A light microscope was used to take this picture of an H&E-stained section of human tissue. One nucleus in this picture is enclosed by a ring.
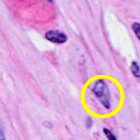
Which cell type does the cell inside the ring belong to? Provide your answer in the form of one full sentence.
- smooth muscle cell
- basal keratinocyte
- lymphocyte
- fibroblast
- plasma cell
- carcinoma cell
By its classification, the cell inside the ring is a fibroblast.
